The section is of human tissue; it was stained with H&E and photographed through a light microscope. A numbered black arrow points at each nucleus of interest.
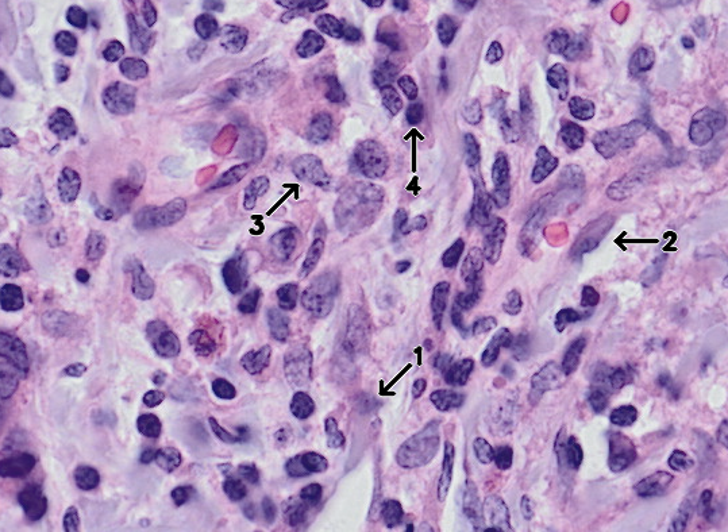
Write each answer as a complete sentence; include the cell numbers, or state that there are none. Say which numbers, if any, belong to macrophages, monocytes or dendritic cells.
The cells the numbers 1 and 3 point to are macrophages, monocytes or dendritic cells.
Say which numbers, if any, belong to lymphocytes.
Among the numbered nuclei, only the one labelled 4 belongs to a lymphocyte.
